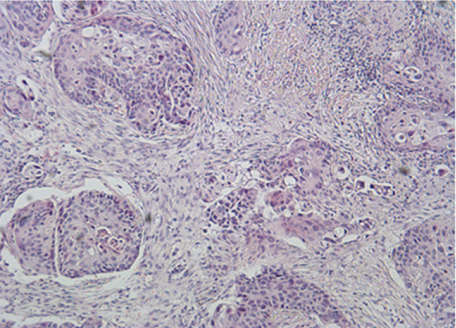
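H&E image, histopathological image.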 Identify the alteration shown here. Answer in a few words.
Cancer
